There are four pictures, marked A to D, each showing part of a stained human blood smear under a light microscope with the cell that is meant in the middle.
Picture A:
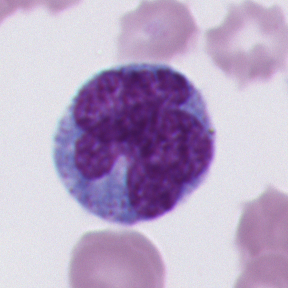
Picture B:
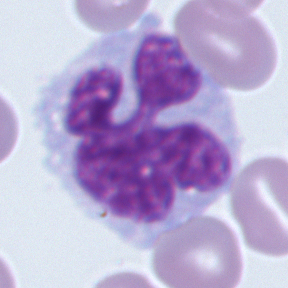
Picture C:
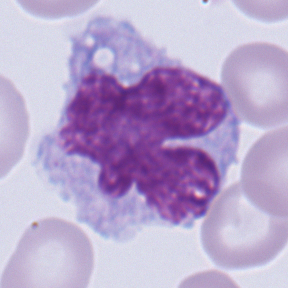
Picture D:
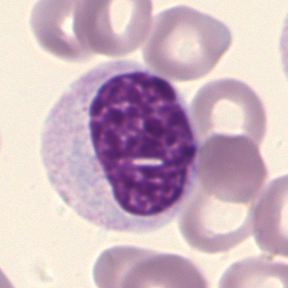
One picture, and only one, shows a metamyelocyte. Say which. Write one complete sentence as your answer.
The cell in picture D is the metamyelocyte.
